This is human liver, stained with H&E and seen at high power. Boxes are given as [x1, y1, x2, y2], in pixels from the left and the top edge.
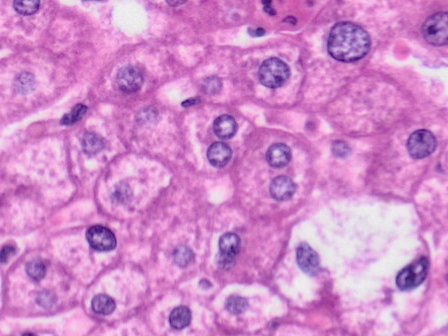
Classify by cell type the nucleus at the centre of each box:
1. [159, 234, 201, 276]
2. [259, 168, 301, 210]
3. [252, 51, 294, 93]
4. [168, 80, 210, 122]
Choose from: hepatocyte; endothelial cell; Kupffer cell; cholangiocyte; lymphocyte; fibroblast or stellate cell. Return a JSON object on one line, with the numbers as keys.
{"1": "hepatocyte", "2": "hepatocyte", "3": "hepatocyte", "4": "endothelial cell"}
